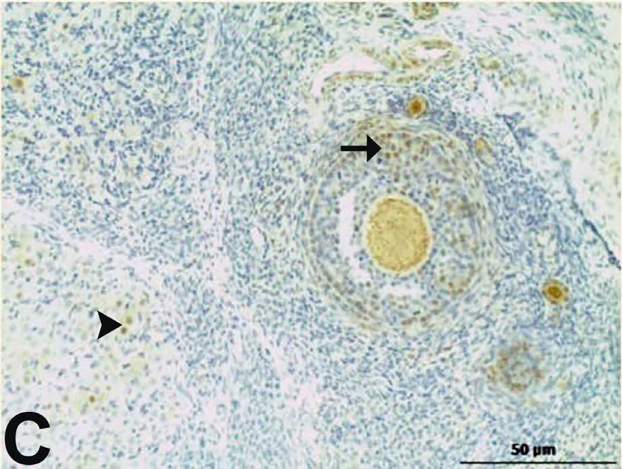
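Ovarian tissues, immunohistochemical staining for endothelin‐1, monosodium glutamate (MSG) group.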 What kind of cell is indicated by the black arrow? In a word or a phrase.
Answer: granulosa cells of secondary follicles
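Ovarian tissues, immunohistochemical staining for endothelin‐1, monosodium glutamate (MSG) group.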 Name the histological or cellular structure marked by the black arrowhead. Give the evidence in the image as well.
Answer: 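The arrowhead points into a region of large pale cells with abundant cytoplasm. The region lies outside any follicle and lacks an oocyte. The answer: corpus luteum.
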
